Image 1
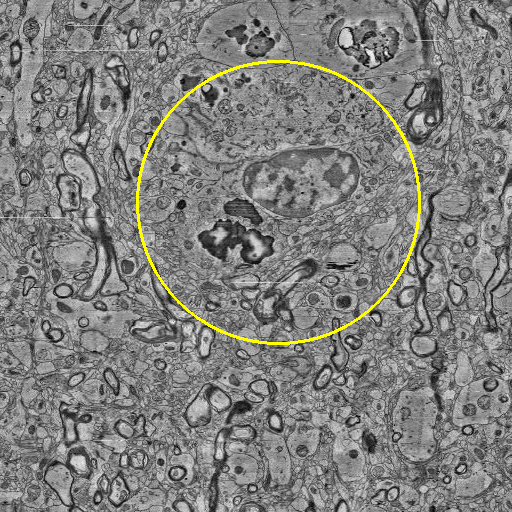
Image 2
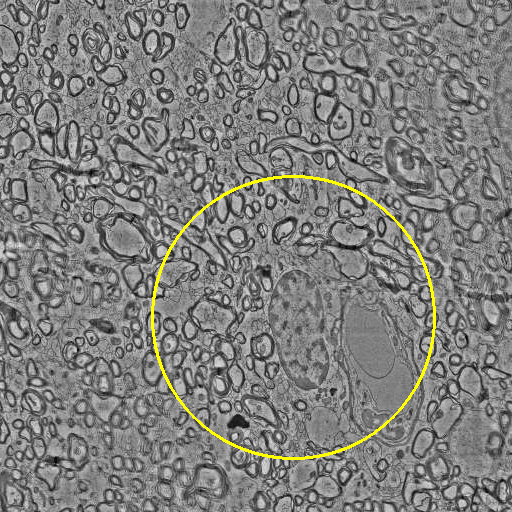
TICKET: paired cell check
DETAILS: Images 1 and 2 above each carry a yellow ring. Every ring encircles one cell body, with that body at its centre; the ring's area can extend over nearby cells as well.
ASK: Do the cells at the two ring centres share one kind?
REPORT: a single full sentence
Yes, the ring-centre cells of Images 1 and 2 belong to a single kind.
